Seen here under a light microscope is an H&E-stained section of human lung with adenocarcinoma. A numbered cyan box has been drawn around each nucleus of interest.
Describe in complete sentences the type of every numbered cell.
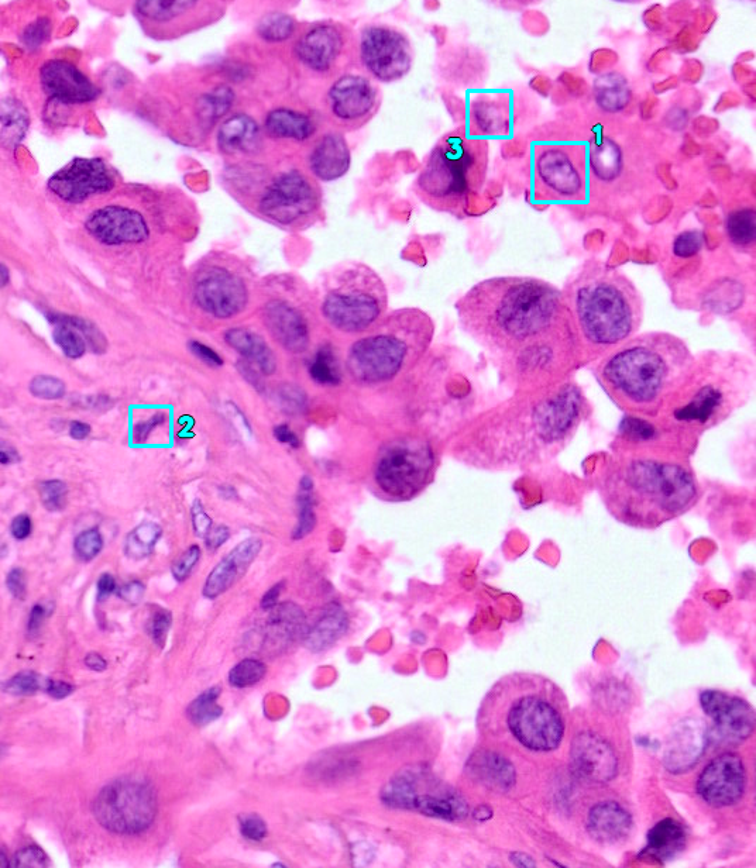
Cells 1 and 3 are macrophages or monocytes. Cell 2 is a plasma cell.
